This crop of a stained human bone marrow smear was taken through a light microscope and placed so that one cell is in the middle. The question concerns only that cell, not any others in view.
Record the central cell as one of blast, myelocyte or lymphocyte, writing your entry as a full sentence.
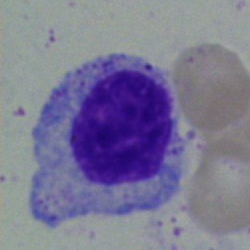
As for the central cell, it is a myelocyte.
